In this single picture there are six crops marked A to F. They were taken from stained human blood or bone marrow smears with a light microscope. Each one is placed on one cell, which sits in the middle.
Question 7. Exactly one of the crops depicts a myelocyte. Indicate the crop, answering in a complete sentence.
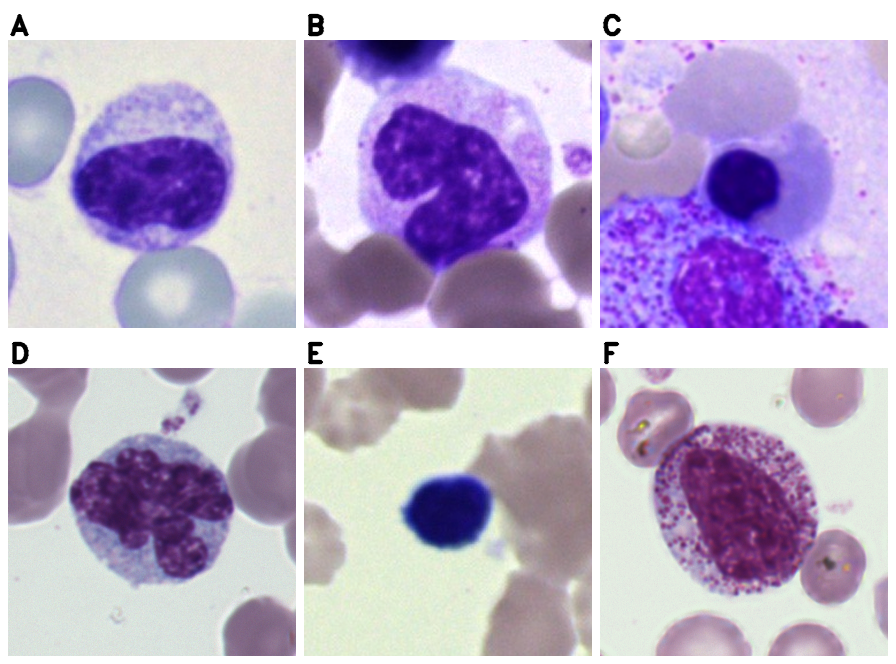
Of these crops, it is crop F that shows a myelocyte.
